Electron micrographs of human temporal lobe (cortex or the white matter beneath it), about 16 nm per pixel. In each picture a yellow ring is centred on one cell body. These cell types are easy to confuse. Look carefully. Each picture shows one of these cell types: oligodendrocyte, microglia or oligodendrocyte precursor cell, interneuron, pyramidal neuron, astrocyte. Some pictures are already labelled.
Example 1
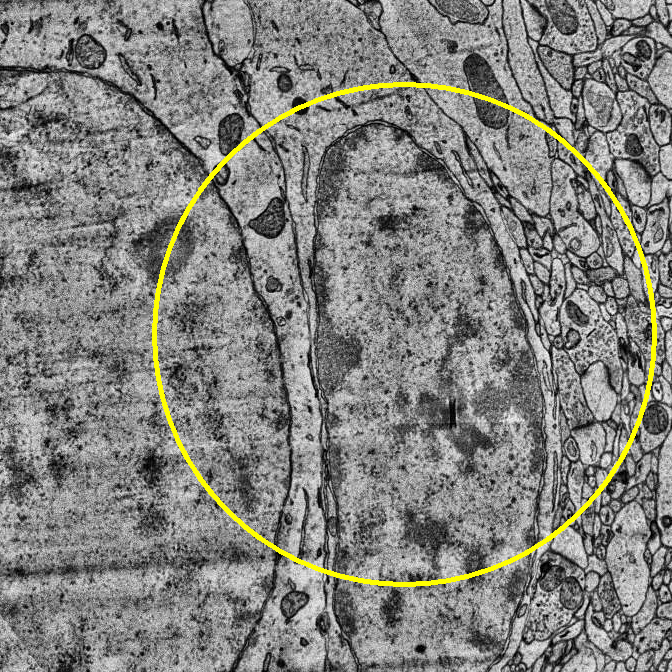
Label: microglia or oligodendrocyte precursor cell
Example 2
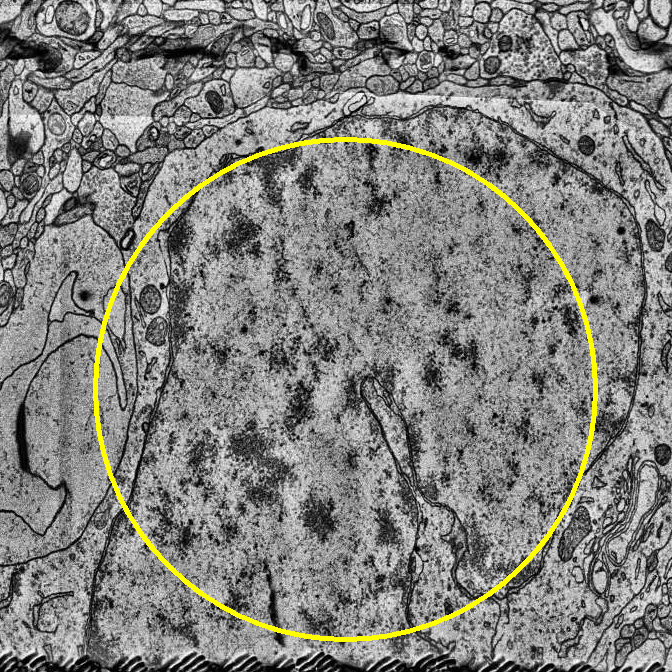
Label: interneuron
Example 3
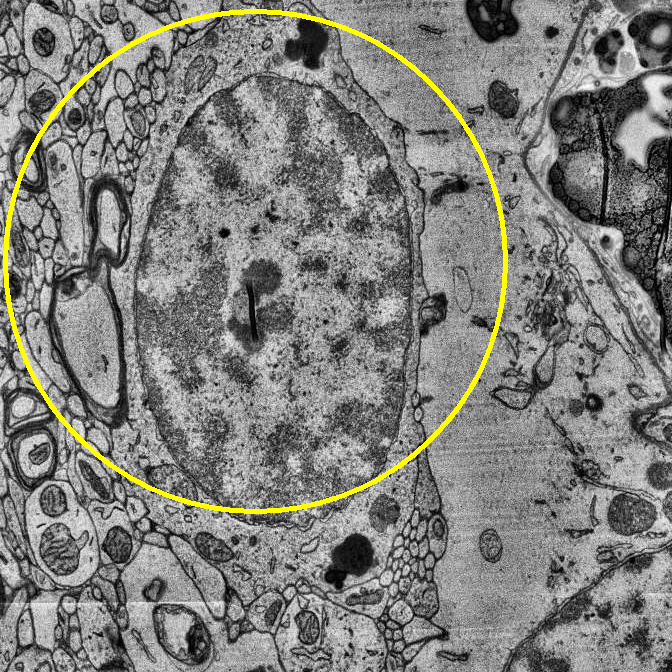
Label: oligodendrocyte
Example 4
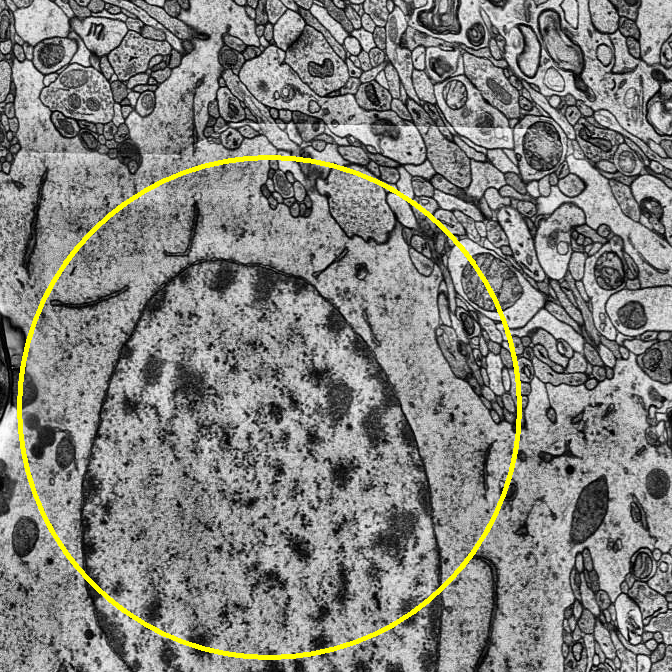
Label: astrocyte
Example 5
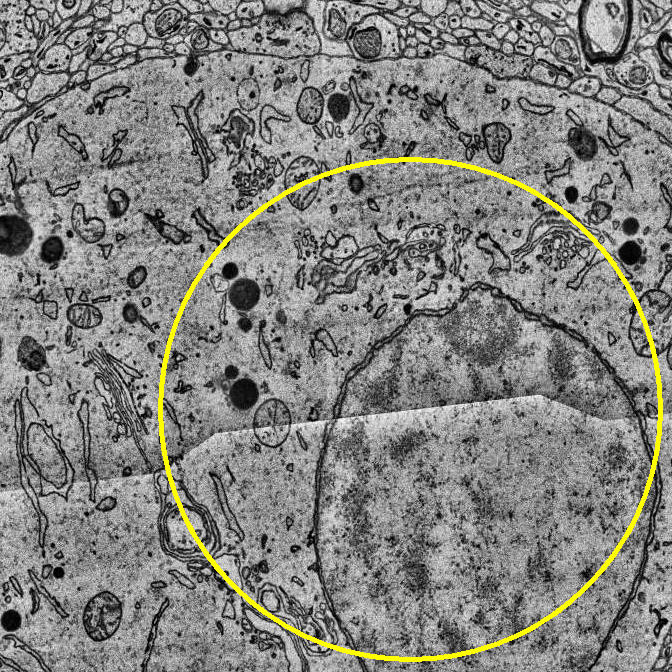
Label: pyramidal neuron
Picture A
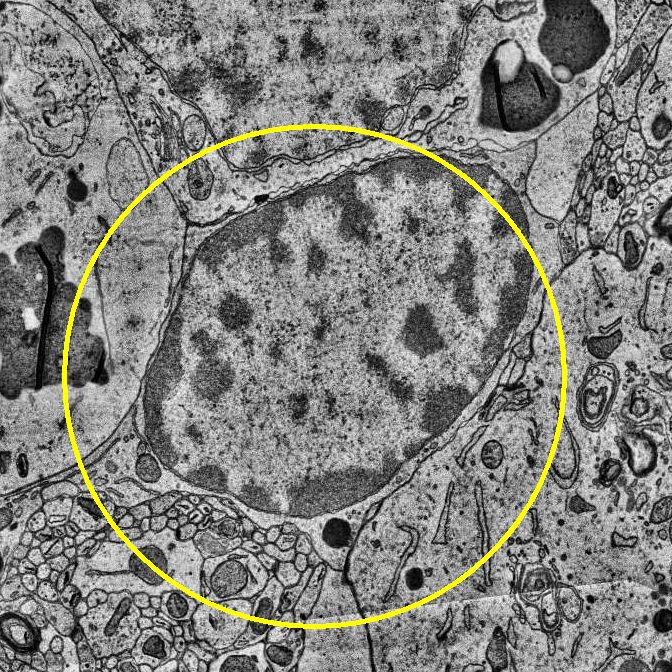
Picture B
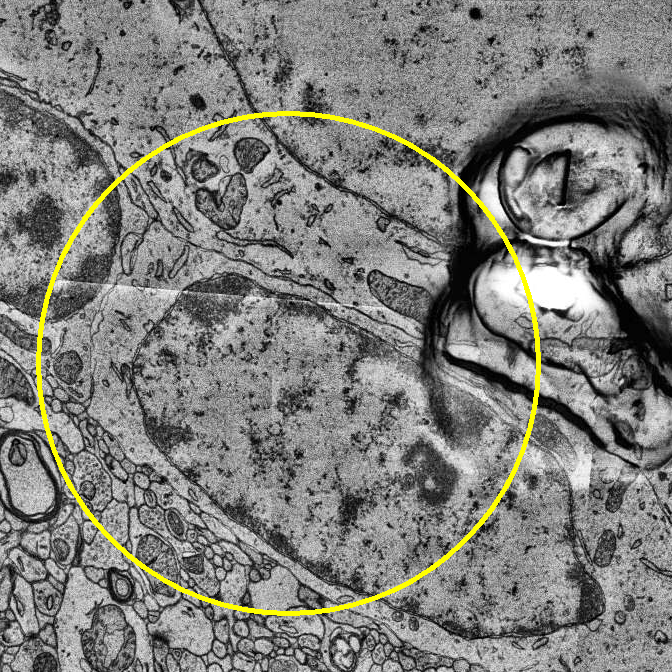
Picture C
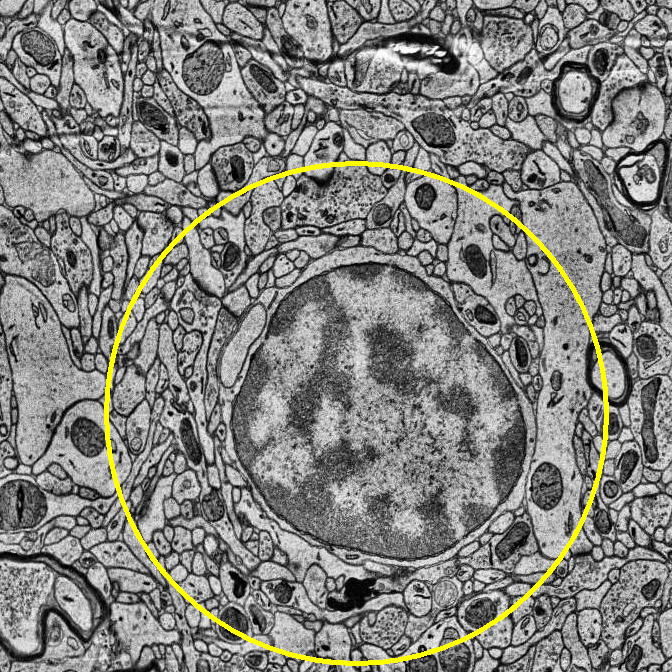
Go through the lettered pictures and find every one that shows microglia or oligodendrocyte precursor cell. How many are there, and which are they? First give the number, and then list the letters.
3, namely A, B, C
